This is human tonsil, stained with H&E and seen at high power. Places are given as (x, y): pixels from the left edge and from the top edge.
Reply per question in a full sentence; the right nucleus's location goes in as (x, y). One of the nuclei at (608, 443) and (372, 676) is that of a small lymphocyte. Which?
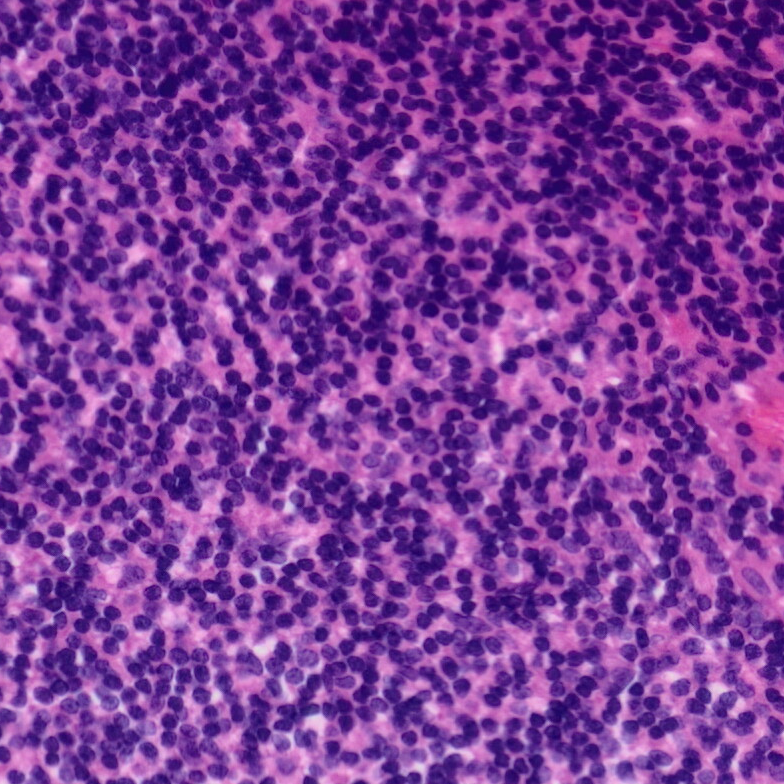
Identify the nucleus at (372, 676) as the one belonging to a small lymphocyte.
